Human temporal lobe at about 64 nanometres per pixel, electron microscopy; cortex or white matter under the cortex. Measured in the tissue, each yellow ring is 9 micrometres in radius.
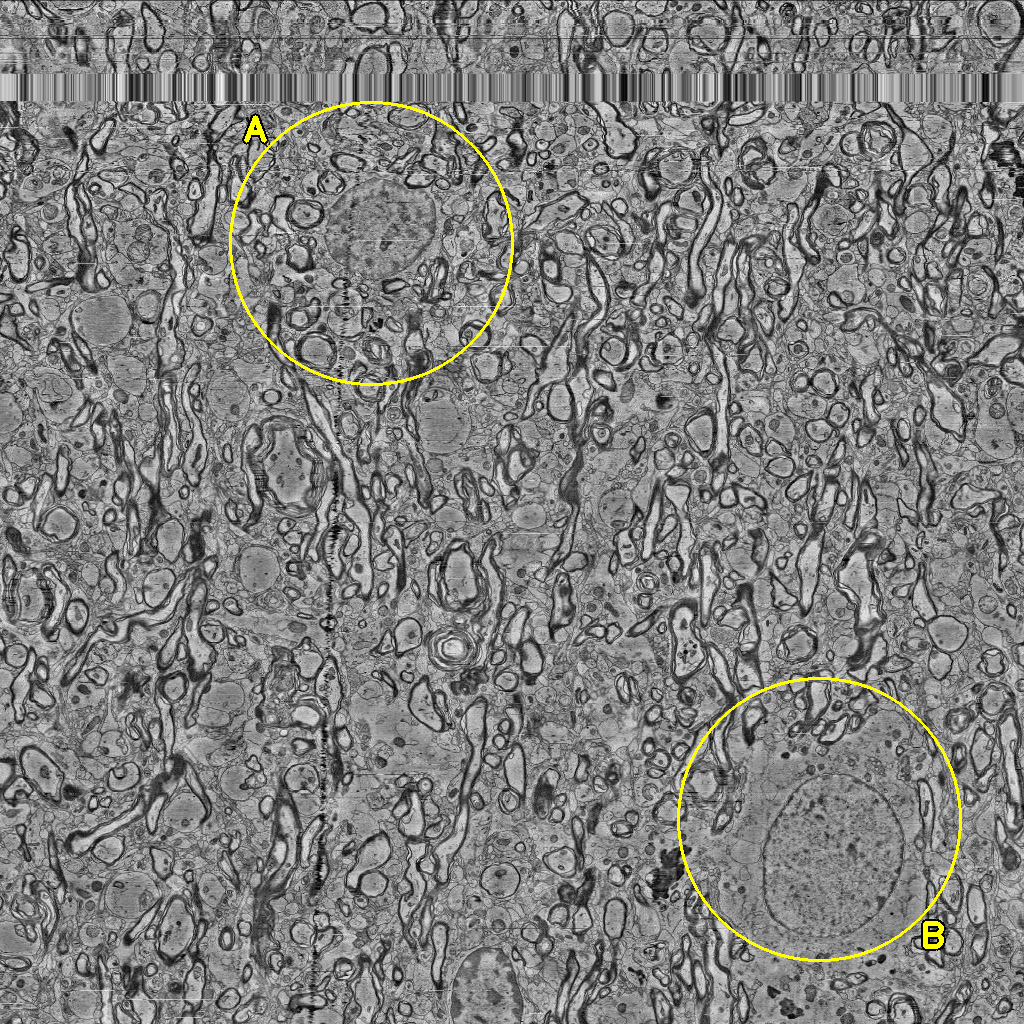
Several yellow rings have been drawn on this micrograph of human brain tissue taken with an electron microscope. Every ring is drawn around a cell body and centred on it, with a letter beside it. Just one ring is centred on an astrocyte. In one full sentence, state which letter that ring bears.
At the centre of ring B is a cell of that kind.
